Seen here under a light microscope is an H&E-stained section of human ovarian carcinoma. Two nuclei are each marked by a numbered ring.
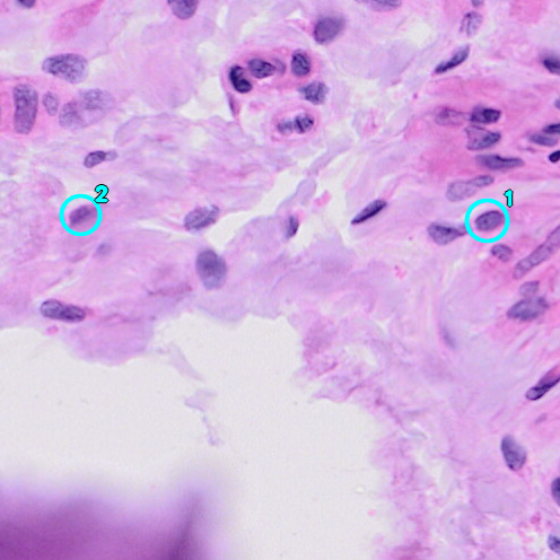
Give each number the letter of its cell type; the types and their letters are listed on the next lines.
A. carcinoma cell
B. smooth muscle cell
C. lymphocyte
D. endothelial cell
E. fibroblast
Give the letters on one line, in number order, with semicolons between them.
B; E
